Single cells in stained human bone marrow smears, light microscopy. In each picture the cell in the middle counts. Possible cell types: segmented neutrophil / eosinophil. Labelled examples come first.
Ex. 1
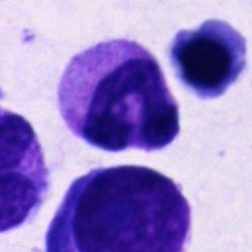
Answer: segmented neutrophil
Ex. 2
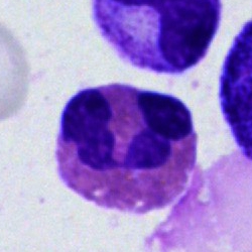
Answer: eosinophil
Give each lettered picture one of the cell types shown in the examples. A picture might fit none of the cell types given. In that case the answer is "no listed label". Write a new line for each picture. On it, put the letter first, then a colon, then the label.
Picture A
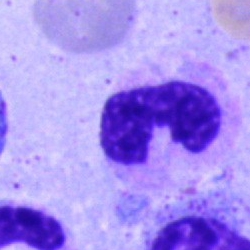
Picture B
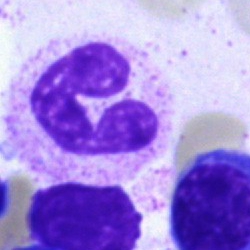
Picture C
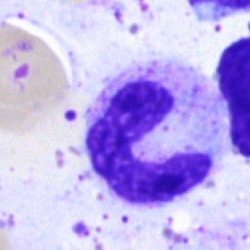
A: no listed label
B: segmented neutrophil
C: no listed label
